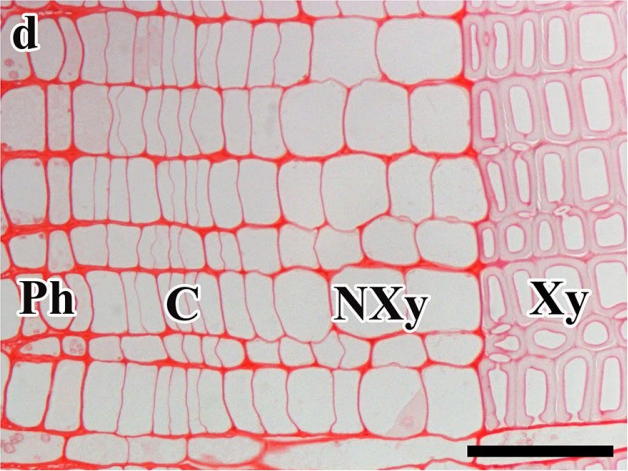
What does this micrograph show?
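Radial files of cells run from the phloem on the left through a zone of narrow, flattened cambial cells with thin red walls into a broad band of much larger, thin-walled, squarish cells. On the right these files meet older xylem, whose cells are smaller in diameter, with thick pale pink walls and small lumens, and with pits visible in some walls. The large thin-walled cells in the middle are cambial derivatives enlarging into earlywood tracheids that have not yet thickened their walls.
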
